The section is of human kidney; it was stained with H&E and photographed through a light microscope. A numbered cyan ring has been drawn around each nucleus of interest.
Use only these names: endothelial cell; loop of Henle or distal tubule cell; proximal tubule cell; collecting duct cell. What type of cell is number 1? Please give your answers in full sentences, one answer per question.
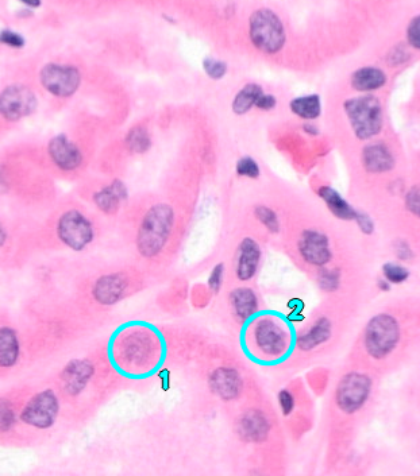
The cell identified by the number 1 is a proximal tubule cell.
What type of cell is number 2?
The one numbered 2 among the marked cells is a collecting duct cell.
